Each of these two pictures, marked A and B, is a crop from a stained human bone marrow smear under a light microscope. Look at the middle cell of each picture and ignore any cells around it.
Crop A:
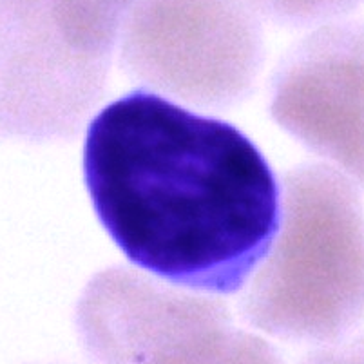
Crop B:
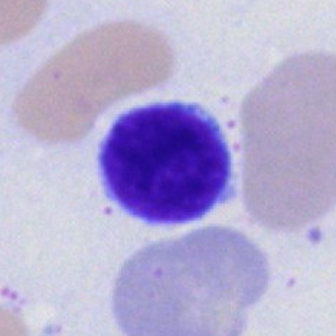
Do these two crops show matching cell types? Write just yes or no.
yes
